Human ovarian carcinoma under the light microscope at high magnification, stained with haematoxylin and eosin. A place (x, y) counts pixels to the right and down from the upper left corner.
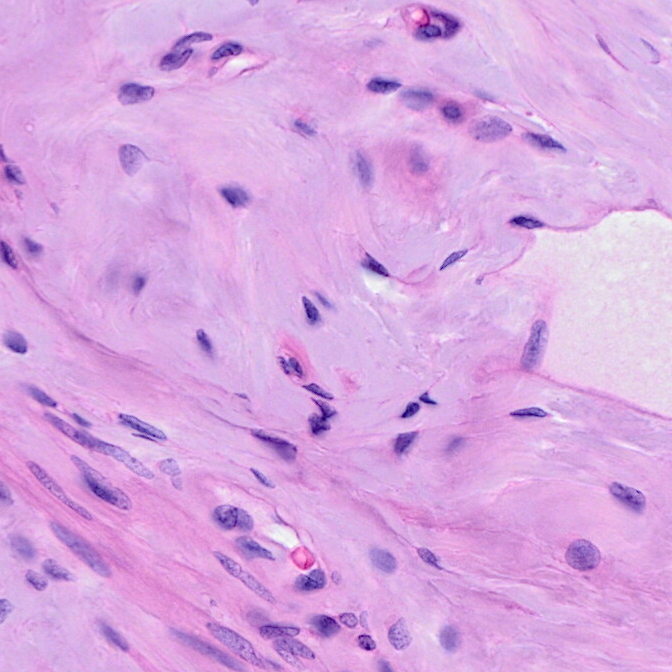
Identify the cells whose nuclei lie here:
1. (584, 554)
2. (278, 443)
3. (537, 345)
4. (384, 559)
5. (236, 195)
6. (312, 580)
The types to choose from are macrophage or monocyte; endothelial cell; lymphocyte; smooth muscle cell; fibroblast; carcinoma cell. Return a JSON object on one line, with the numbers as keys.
{"1": "fibroblast", "2": "fibroblast", "3": "endothelial cell", "4": "fibroblast", "5": "fibroblast", "6": "endothelial cell"}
